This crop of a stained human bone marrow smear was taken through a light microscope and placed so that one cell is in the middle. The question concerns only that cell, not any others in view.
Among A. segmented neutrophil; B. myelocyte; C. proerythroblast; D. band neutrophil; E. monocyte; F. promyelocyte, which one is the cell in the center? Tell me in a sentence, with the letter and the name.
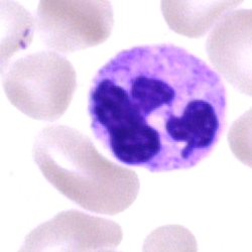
The cell at the centre is a segmented neutrophil, and option A accordingly is correct.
